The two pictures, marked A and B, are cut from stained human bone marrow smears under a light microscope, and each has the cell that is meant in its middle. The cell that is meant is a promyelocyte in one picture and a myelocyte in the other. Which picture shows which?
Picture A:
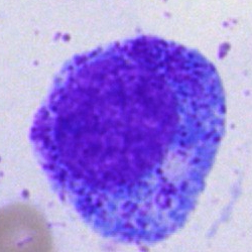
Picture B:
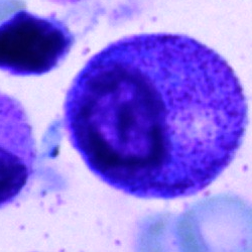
A: promyelocyte
B: myelocyte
